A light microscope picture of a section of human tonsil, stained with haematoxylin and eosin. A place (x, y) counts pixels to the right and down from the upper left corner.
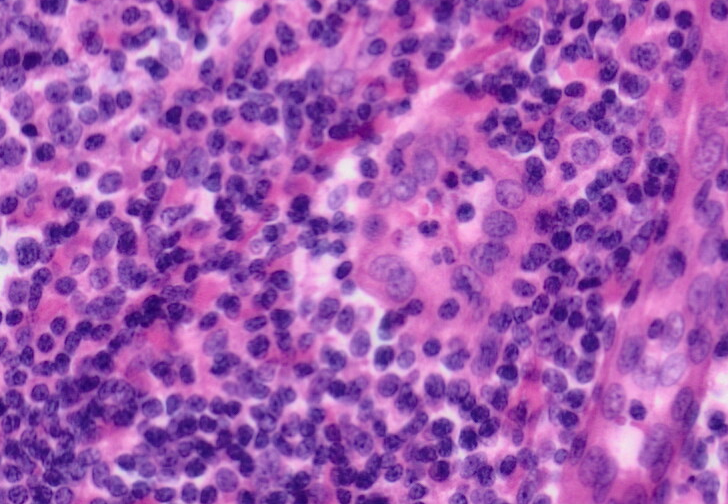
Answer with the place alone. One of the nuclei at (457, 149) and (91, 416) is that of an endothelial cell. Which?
(457, 149)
